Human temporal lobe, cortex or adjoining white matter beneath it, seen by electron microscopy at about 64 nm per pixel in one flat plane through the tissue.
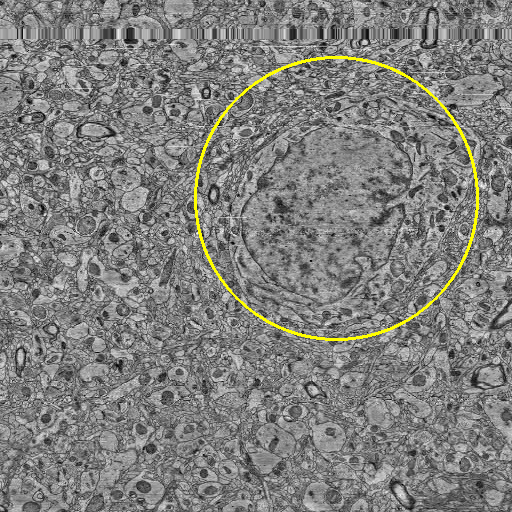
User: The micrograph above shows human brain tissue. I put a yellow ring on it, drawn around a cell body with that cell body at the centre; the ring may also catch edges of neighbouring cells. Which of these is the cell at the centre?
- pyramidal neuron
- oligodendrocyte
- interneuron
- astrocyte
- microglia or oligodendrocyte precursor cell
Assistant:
interneuron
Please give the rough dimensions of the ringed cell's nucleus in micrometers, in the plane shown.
The nucleus has a long axis of about 12 micrometres and a short axis of about 10 micrometres in this plane.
